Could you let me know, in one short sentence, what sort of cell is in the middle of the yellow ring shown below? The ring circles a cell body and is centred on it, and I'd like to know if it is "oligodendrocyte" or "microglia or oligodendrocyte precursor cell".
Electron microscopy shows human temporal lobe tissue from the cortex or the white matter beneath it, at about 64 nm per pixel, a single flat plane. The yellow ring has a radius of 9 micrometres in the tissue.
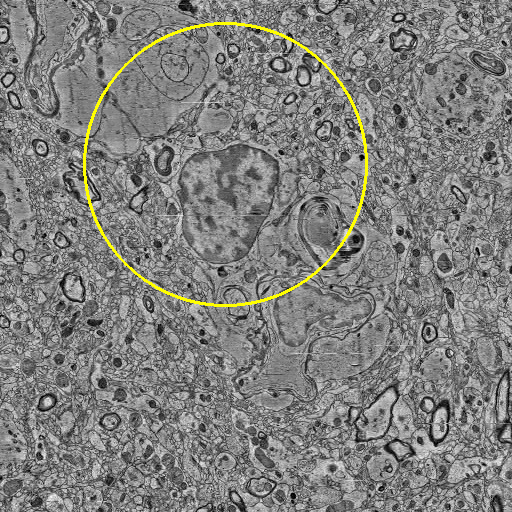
The ring circles the cell body of a microglial cell or oligodendrocyte precursor cell.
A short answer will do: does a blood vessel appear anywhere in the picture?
Yes, there is a blood vessel in the image.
